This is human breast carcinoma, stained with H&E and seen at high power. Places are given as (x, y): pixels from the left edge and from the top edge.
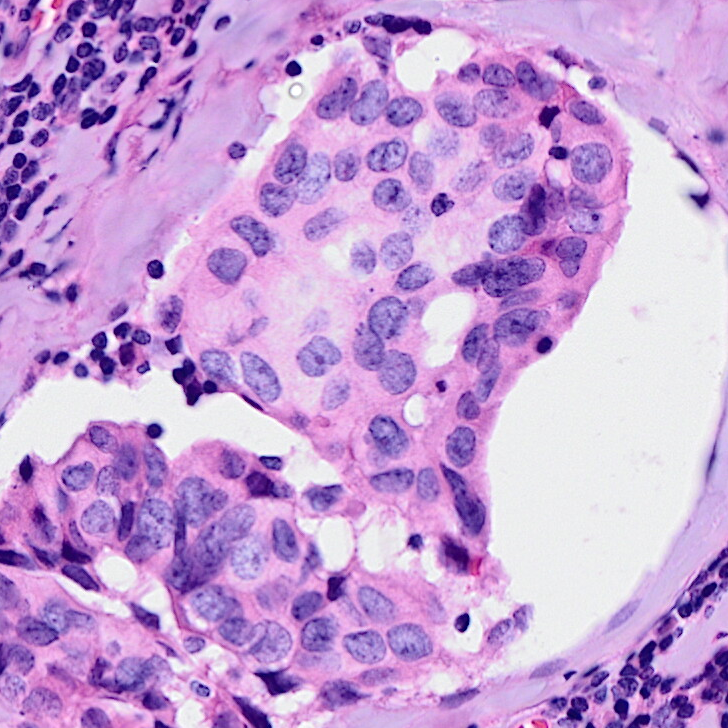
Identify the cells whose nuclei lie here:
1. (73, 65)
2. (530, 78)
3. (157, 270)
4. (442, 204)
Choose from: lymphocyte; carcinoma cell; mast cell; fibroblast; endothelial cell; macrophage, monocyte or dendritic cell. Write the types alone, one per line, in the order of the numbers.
lymphocyte
carcinoma cell
lymphocyte
lymphocyte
